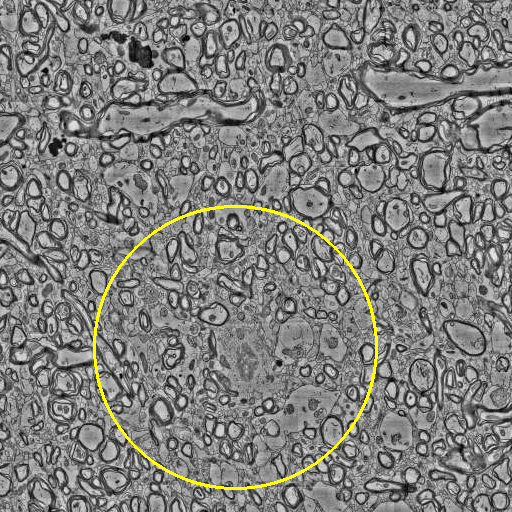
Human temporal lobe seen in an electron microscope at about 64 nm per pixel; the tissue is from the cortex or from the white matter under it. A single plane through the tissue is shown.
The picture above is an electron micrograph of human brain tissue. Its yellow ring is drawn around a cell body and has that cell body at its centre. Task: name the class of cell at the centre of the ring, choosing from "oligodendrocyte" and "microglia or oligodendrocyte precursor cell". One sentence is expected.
The ring surrounds the body of an oligodendrocyte.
